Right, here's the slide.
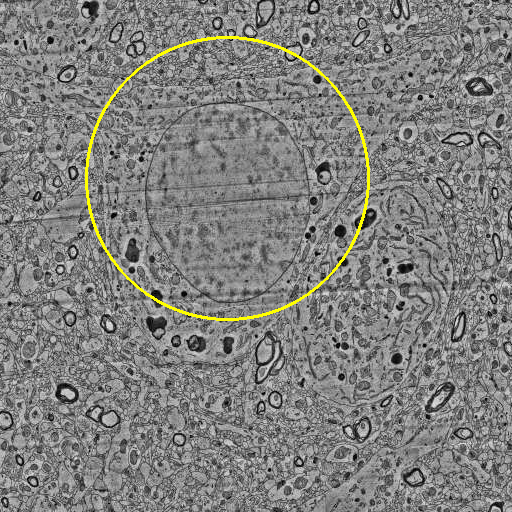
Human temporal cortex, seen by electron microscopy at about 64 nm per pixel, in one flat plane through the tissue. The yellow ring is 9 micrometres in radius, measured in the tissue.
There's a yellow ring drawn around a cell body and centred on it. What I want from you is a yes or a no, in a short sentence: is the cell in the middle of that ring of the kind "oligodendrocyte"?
No, it's of some other kind.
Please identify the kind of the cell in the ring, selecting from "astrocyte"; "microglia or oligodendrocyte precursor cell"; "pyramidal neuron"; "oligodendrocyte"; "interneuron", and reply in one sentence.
The cell circled by the yellow ring is a pyramidal neuron.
